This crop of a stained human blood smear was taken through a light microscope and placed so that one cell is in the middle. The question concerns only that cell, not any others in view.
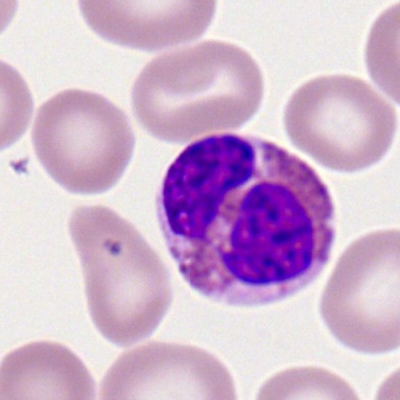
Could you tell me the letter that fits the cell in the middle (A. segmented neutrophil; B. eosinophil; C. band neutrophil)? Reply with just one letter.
B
